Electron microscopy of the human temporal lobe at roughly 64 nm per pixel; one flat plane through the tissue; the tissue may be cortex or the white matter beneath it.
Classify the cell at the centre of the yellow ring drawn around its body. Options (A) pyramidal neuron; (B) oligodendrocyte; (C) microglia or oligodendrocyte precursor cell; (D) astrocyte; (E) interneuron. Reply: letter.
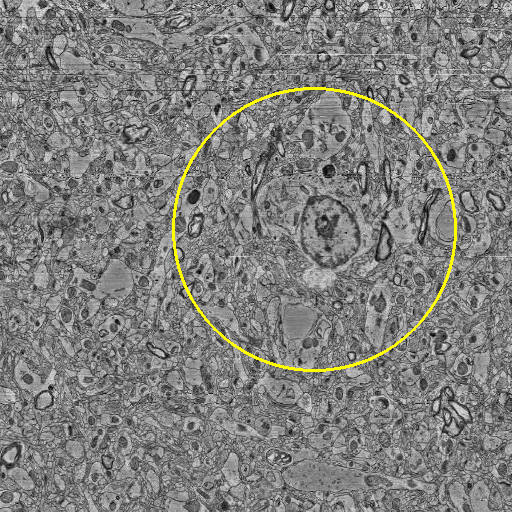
C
